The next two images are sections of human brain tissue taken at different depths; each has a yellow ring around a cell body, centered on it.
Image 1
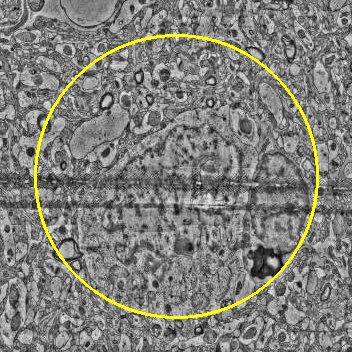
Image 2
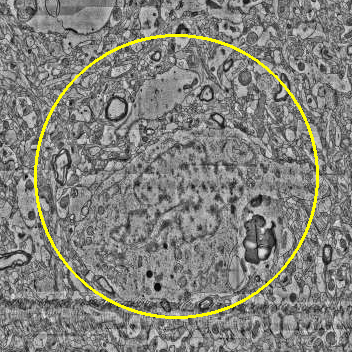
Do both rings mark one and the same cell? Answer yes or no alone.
yes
